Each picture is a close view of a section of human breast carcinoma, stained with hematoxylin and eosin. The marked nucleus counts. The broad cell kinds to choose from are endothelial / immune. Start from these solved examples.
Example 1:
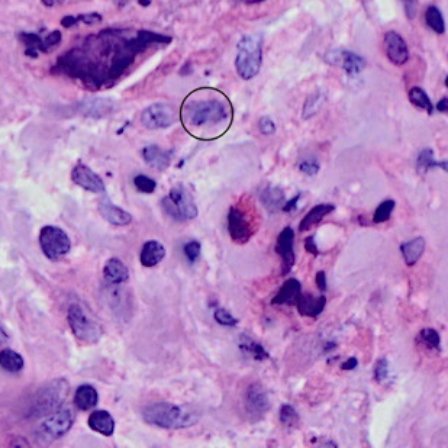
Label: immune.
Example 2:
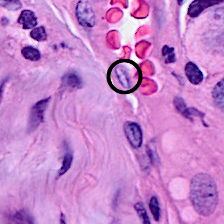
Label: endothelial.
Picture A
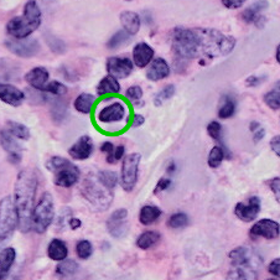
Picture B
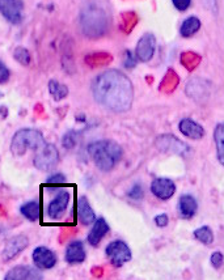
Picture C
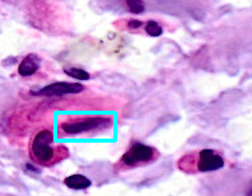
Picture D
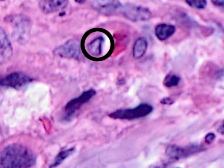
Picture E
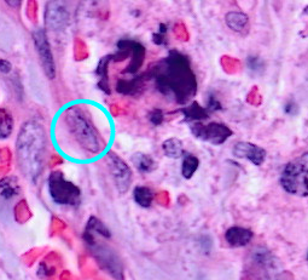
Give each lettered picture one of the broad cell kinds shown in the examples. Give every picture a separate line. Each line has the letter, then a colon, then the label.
A: immune.
B: immune.
C: endothelial.
D: endothelial.
E: endothelial.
